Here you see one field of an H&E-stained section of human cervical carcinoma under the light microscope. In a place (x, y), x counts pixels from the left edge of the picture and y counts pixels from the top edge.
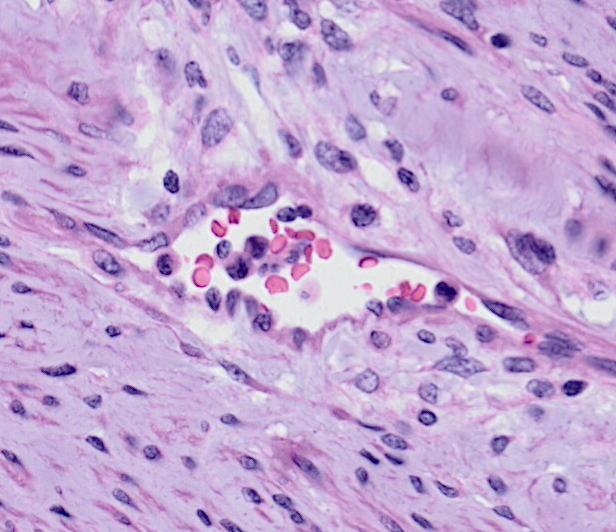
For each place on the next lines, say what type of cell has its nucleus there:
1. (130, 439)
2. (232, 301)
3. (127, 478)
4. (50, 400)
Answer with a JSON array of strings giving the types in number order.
["smooth muscle cell", "endothelial cell", "smooth muscle cell", "smooth muscle cell"]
